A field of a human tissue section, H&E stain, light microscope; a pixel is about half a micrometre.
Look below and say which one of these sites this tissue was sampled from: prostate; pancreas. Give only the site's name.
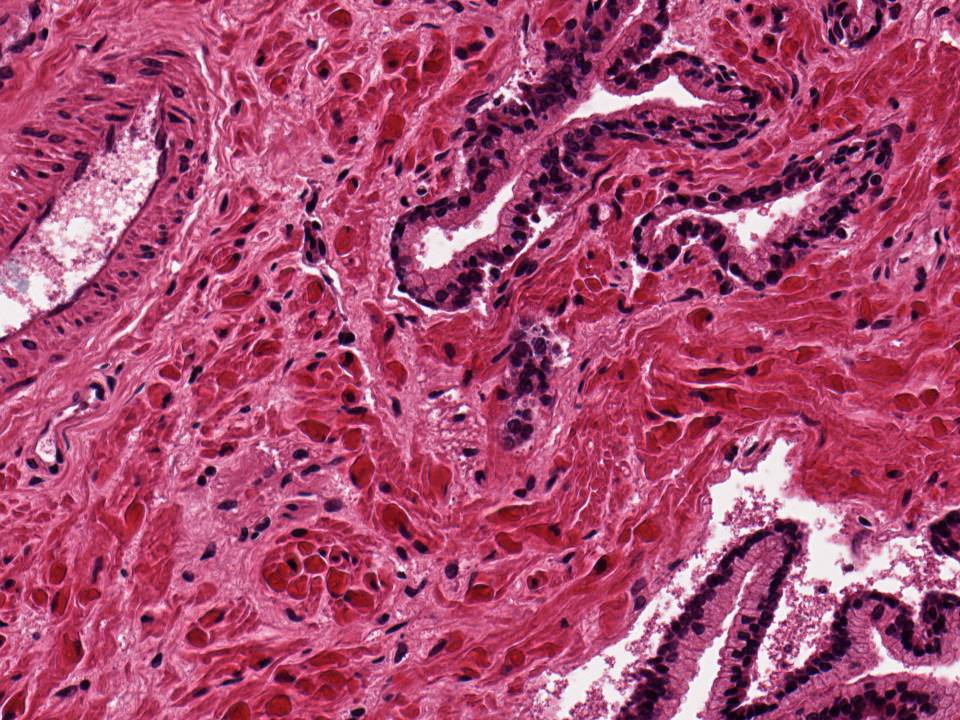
prostate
